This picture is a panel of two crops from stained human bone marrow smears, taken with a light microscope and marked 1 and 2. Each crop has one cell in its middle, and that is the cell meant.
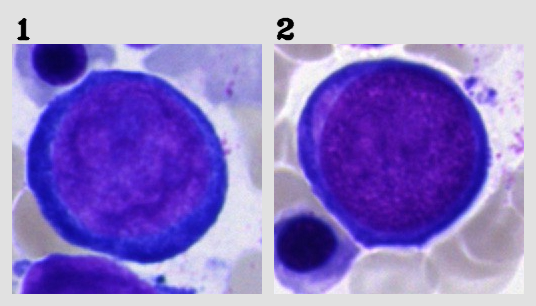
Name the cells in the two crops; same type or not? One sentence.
Yes, both of the crops show proerythroblasts.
